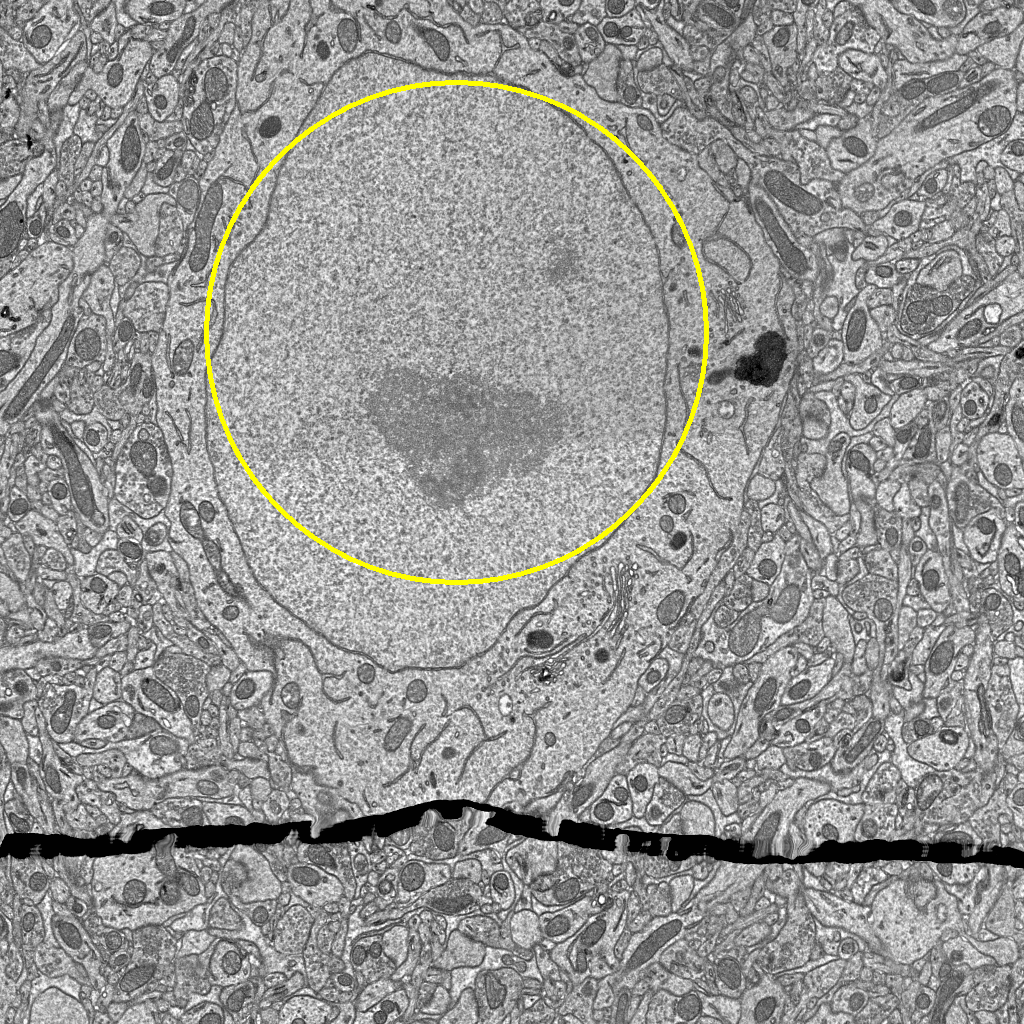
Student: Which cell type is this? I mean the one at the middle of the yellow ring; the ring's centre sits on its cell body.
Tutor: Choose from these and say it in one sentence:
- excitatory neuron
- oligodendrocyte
The cell at the ring's centre is an excitatory neuron.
